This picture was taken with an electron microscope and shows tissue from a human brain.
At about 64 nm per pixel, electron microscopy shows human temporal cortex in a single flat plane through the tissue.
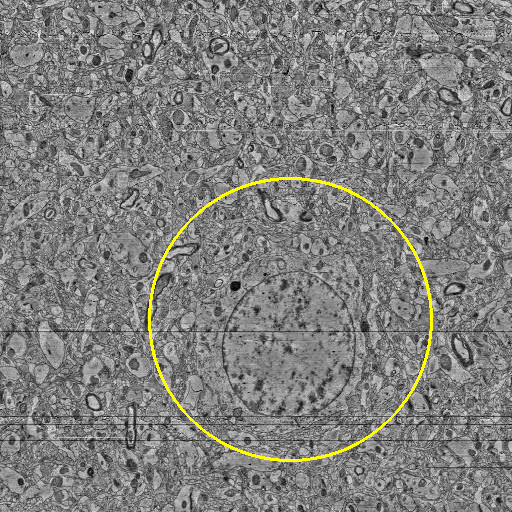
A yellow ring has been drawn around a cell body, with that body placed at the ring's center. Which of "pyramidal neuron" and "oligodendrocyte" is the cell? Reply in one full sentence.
In this picture, a pyramidal neuron is the cell at the center of the yellow ring.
